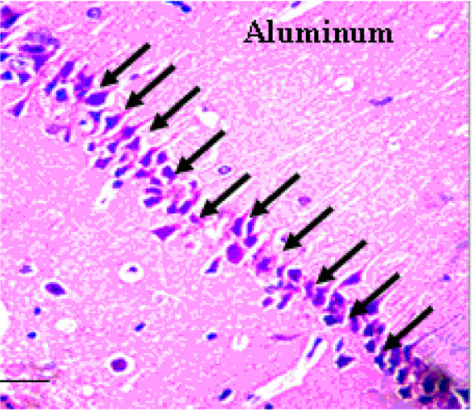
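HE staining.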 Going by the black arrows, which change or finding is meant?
karyopyknosis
